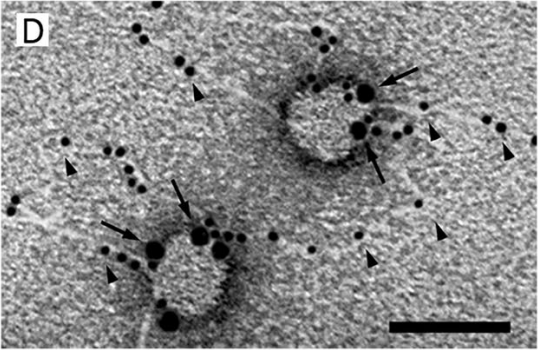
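Two round vesicles with dark, fuzzy rims lie on a grainy background, each carrying several large gold particles at its edge. Smaller gold particles lie separately or in short rows across the background between the vesicles, some along faint thin strands.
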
